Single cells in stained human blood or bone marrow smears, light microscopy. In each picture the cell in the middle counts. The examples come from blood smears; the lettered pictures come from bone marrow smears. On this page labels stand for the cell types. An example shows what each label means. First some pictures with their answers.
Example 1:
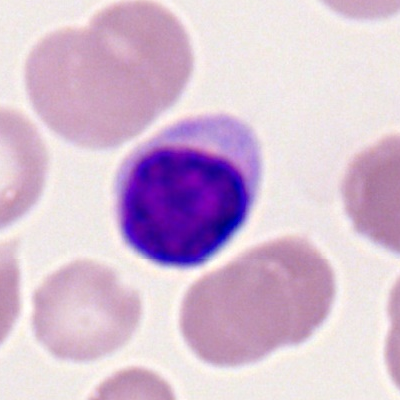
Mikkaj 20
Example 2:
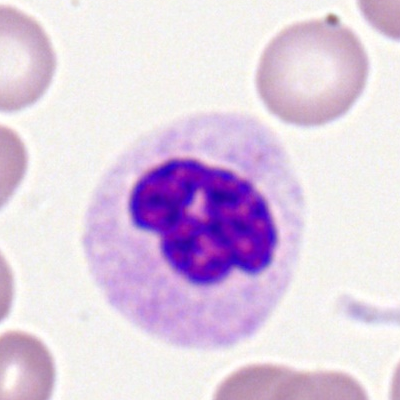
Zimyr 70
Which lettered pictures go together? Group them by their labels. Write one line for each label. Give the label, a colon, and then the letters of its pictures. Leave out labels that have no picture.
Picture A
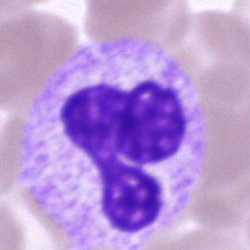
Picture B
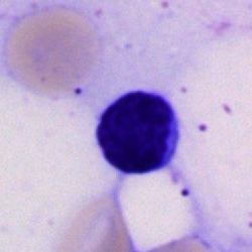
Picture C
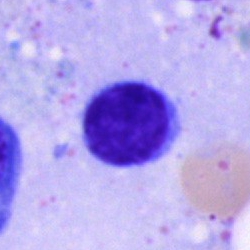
Mikkaj 20: B, C
Zimyr 70: A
